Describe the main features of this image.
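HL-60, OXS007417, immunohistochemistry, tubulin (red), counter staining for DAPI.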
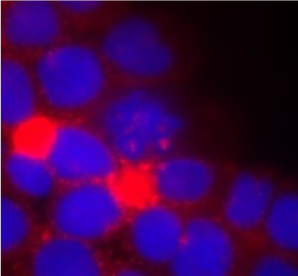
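These are crowded, rounded cultured blood cells with large round blue nuclei and thin red rims of cytoplasm. Two cells stand out with a dense, intensely red mass filling much of the cell rather than a thin rim, and beside one of them lie scattered small red specks.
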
